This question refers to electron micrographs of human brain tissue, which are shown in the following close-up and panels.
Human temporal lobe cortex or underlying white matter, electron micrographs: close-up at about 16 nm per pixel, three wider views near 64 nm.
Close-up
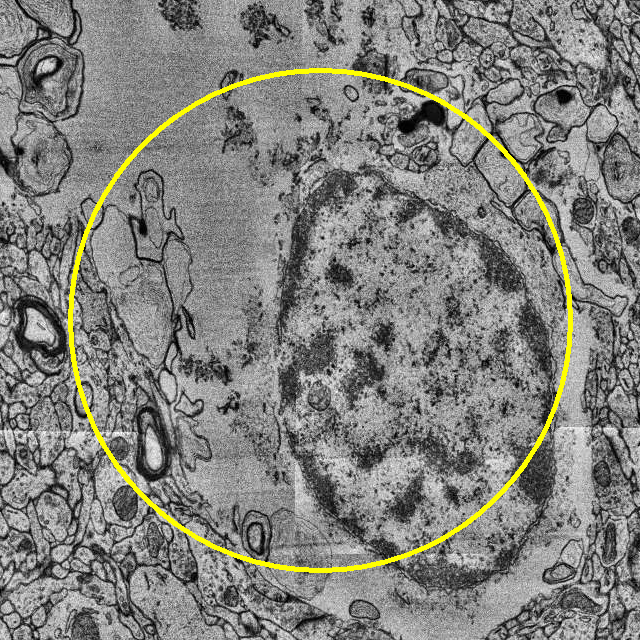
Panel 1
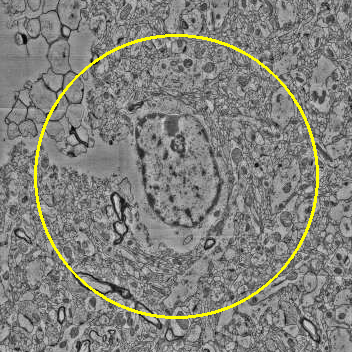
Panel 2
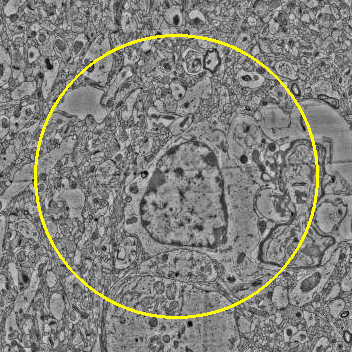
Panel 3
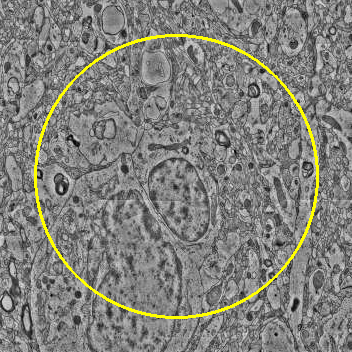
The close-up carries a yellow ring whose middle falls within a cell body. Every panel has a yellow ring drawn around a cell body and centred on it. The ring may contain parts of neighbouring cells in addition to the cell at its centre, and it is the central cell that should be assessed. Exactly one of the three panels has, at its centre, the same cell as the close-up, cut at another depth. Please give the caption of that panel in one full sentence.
The close-up shows in detail the cell ringed in Panel 1.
